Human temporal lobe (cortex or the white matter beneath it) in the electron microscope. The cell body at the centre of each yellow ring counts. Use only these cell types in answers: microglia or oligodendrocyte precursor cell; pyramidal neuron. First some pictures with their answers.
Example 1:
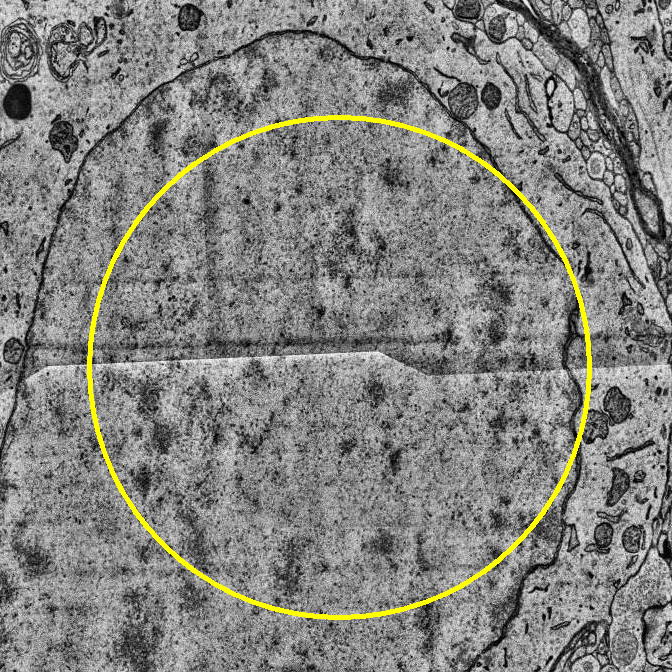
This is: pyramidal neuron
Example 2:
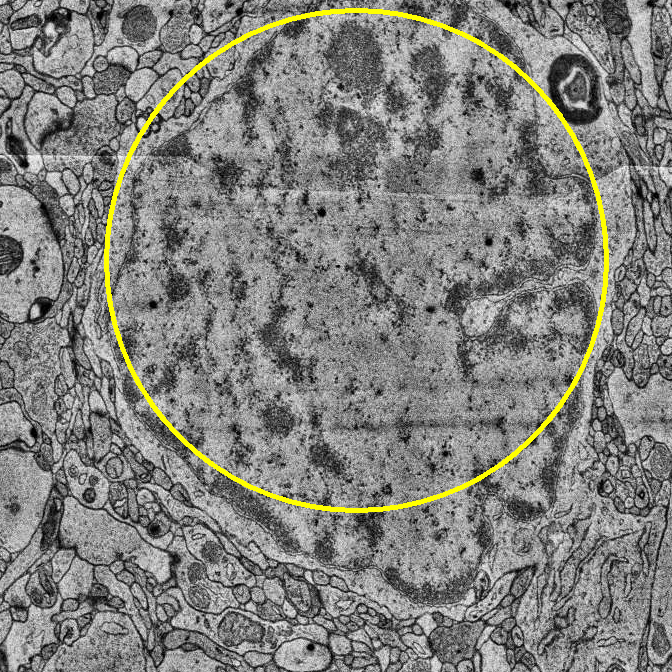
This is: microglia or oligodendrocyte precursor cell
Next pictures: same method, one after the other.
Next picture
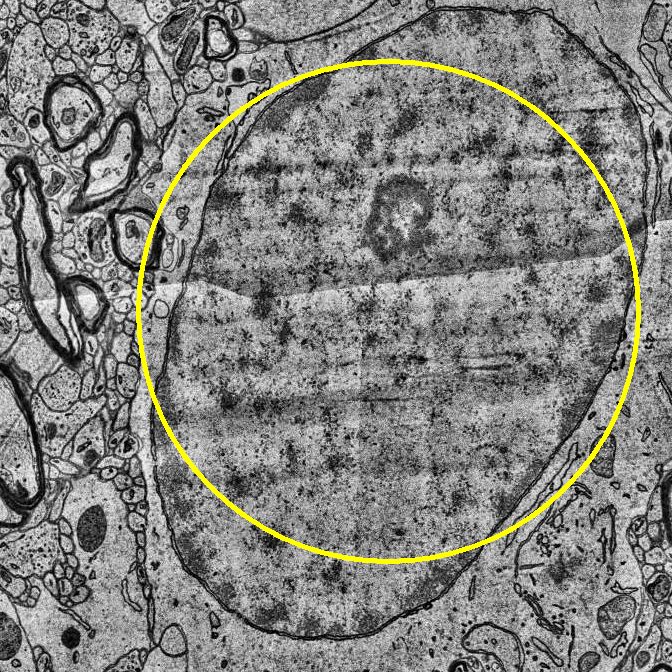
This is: microglia or oligodendrocyte precursor cell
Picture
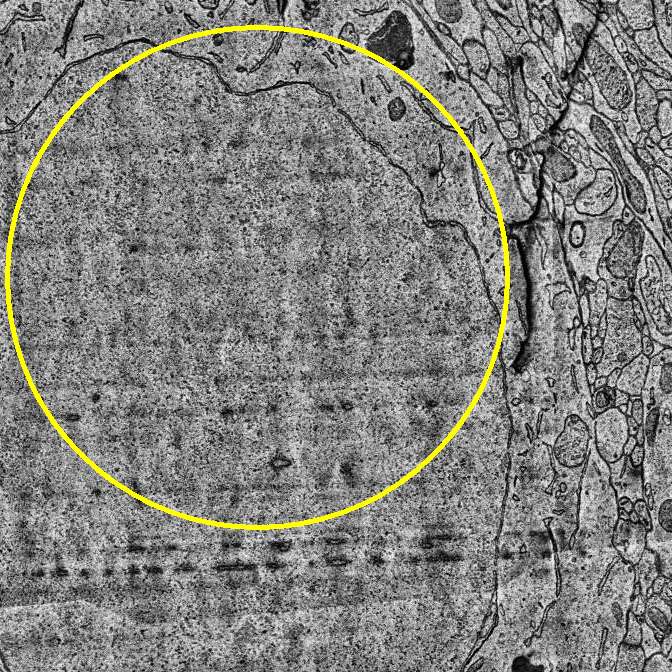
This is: pyramidal neuron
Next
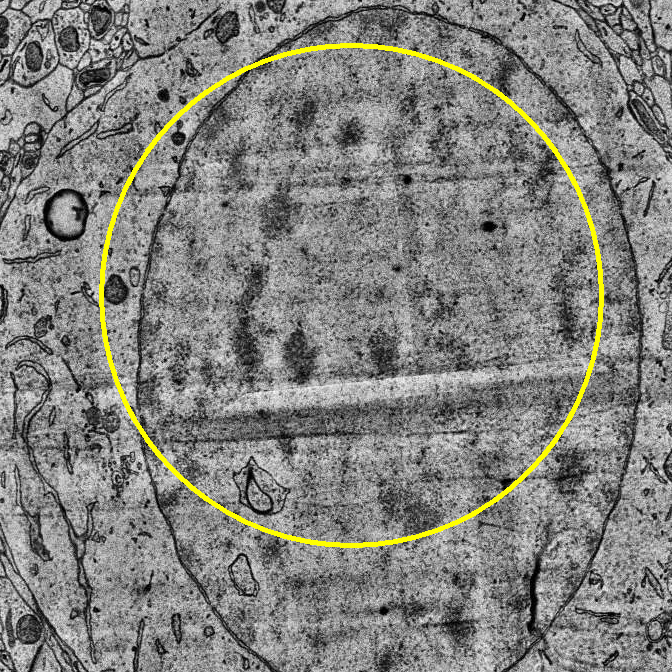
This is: pyramidal neuron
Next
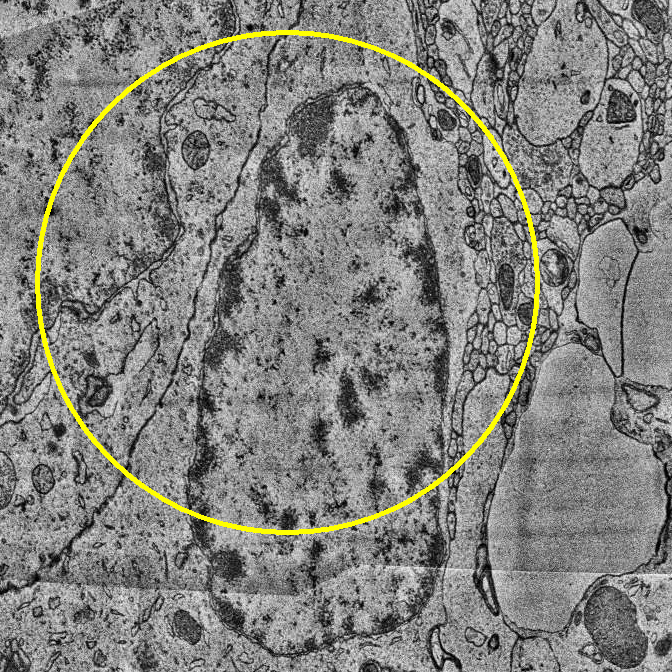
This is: microglia or oligodendrocyte precursor cell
